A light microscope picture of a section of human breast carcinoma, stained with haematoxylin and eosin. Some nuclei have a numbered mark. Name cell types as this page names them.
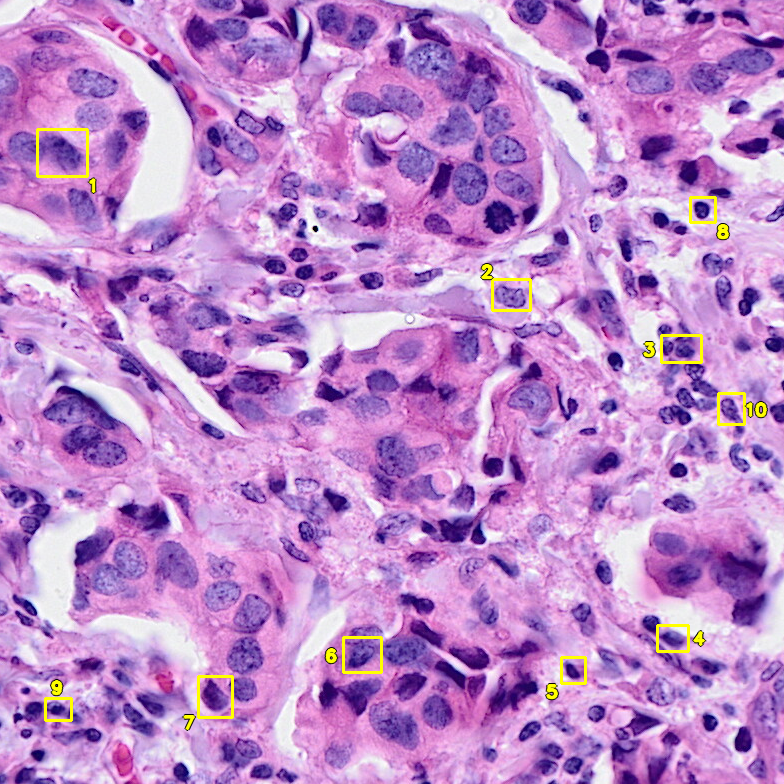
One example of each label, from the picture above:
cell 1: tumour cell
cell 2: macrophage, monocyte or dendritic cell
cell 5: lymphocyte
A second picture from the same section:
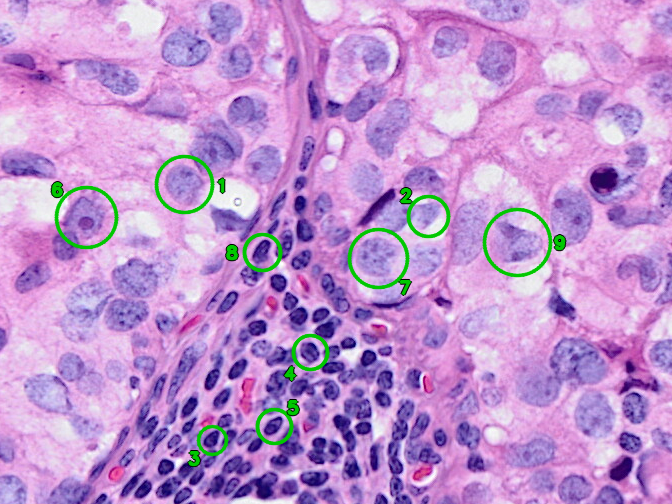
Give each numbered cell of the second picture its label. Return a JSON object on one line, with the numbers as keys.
{"1": "tumour cell", "2": "tumour cell", "3": "lymphocyte", "4": "lymphocyte", "5": "lymphocyte", "6": "tumour cell", "7": "tumour cell", "8": "lymphocyte", "9": "tumour cell"}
